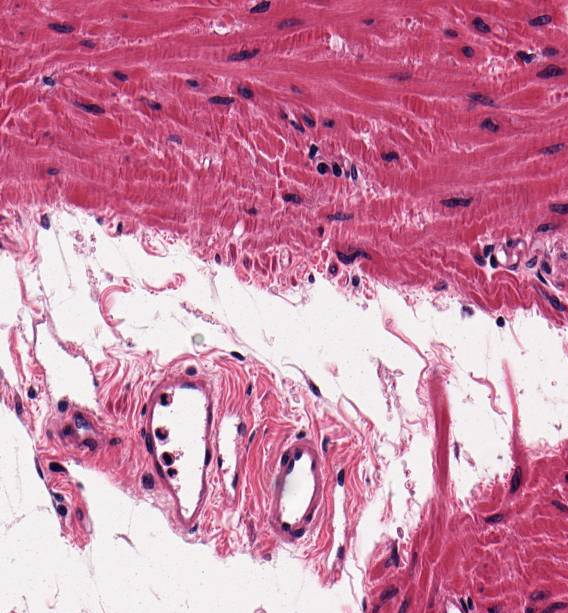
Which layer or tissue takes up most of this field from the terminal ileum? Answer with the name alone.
smooth muscle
